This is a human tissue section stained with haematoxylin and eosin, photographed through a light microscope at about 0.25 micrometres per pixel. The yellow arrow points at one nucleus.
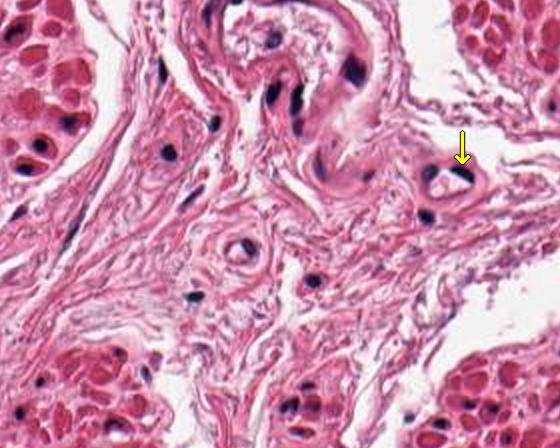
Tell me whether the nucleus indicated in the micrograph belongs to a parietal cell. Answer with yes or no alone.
no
